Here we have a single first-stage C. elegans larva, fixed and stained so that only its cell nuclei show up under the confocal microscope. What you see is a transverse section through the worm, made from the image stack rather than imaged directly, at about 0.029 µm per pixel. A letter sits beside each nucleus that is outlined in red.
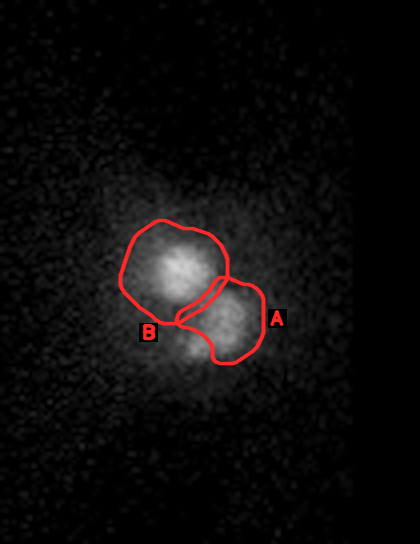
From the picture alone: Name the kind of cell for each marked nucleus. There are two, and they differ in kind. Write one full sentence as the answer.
Nucleus A comes from a seam cell and nucleus B from a neuron.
